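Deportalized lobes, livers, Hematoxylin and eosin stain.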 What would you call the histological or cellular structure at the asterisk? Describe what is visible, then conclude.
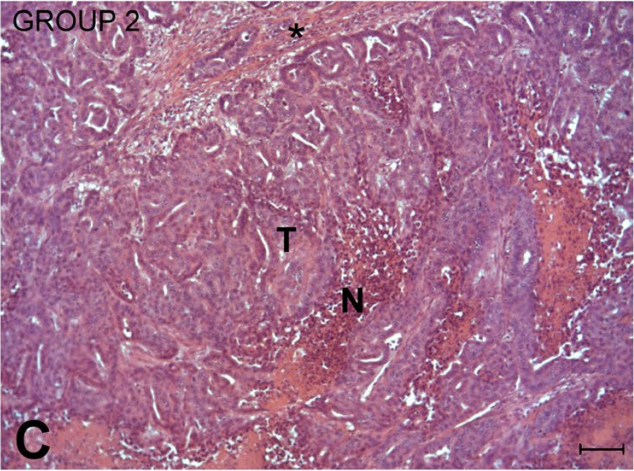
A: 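Minimal stroma. Thin strands of pale pink fibrous tissue run across the top of the panel between tumor cell groups. The fibrous band is narrow compared with the cellular tumor.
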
